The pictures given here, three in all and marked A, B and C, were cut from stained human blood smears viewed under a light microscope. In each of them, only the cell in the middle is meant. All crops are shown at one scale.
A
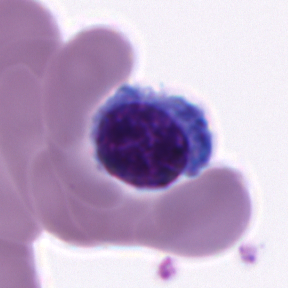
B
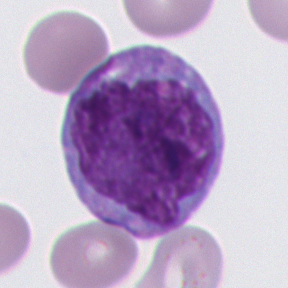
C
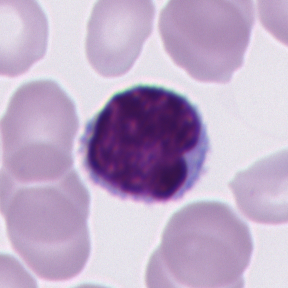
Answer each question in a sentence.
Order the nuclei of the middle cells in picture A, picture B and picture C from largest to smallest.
From the largest down, the order is B, C, A.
